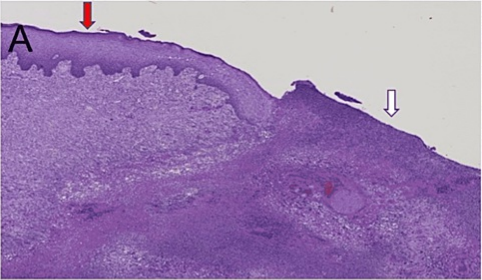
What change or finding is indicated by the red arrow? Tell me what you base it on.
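At the red arrow an intact epidermis with rete ridges covers the surface. A paler band separates the epidermis from the cellular dermal tissue below.
Conclusion: lack of epidermal involvement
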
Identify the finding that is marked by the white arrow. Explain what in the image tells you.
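At the white arrow the surface lacks the intact epithelial layer seen further left.
Cutaneous ulceration.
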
